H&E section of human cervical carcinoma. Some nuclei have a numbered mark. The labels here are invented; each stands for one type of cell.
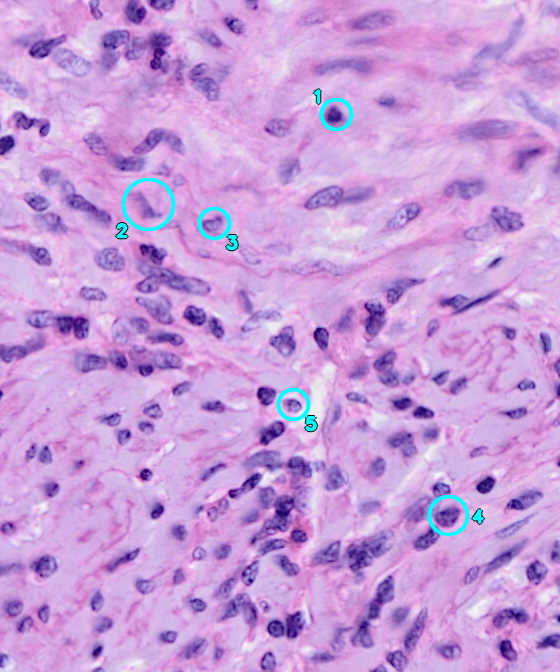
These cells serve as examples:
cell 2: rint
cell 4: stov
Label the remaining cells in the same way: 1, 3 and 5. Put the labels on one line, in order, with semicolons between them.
stov; rint; stov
